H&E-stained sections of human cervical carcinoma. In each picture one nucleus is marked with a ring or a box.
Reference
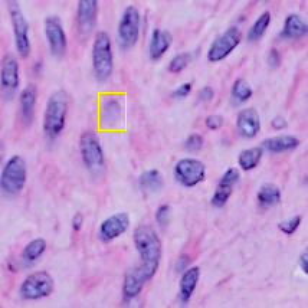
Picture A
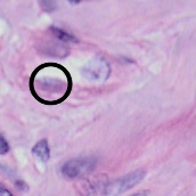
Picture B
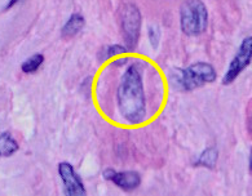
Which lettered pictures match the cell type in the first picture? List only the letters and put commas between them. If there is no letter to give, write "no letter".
no letter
